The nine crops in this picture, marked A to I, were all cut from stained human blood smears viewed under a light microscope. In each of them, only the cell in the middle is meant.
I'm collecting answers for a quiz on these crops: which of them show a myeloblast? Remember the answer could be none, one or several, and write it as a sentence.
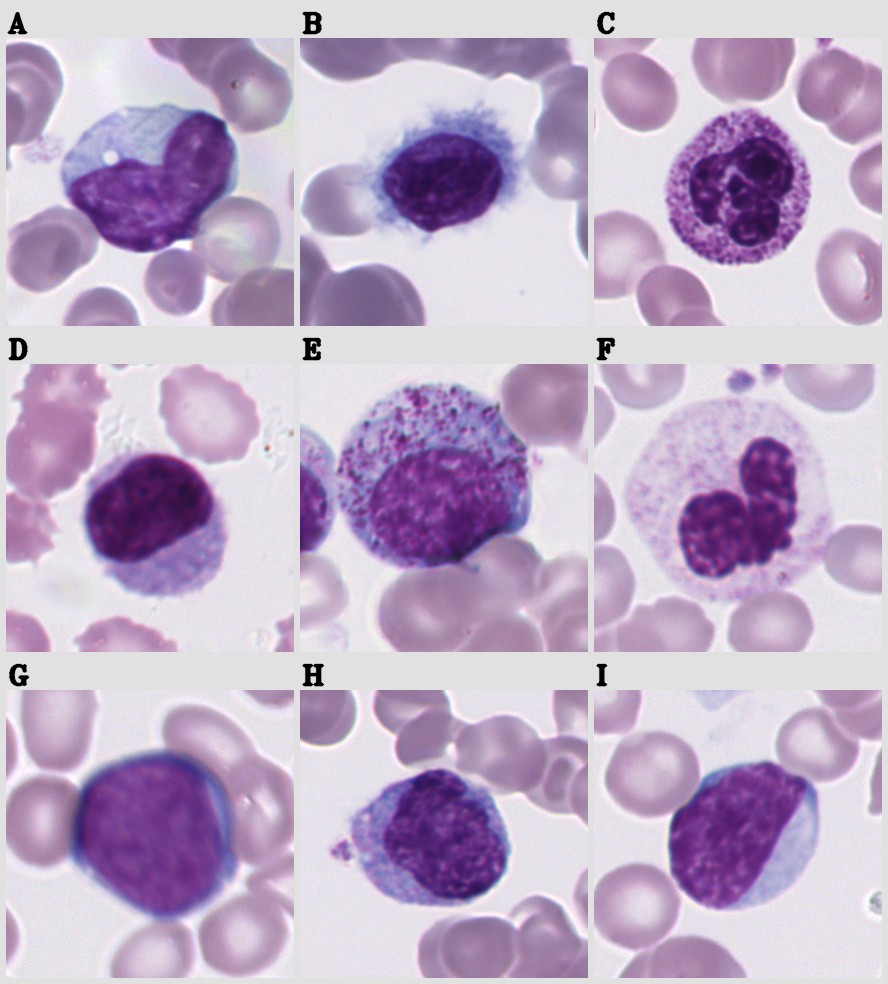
The centred cells of crops A, G and I are myeloblasts.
